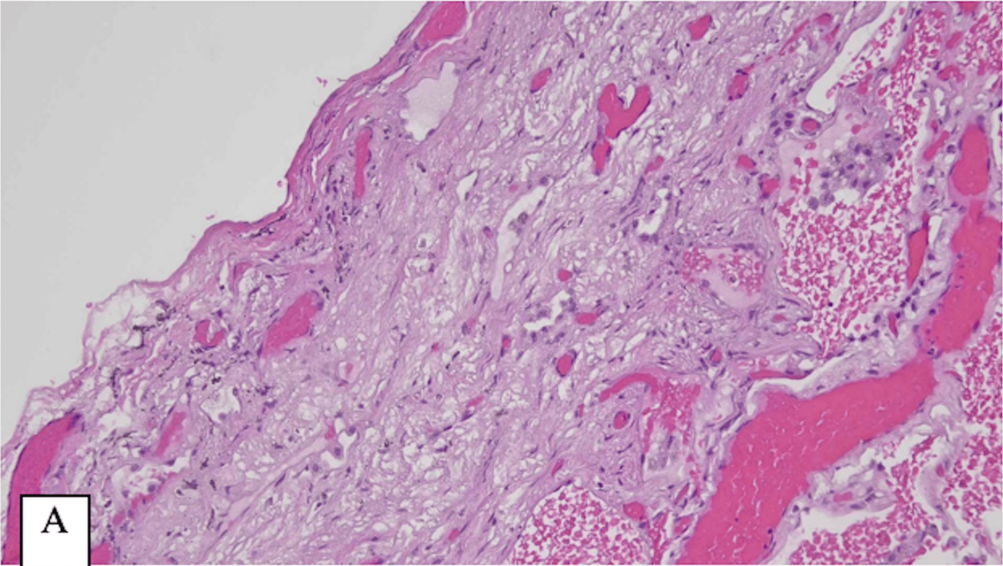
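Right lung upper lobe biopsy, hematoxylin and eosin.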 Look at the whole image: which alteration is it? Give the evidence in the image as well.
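A smooth pink surface lining runs along the upper left edge. Beneath it lies pale, loose, fibrillar connective tissue with scattered spindle-shaped nuclei. No normal thin-walled air spaces are seen in this fibrous band. On this evidence: Subpleural fibrosis.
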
